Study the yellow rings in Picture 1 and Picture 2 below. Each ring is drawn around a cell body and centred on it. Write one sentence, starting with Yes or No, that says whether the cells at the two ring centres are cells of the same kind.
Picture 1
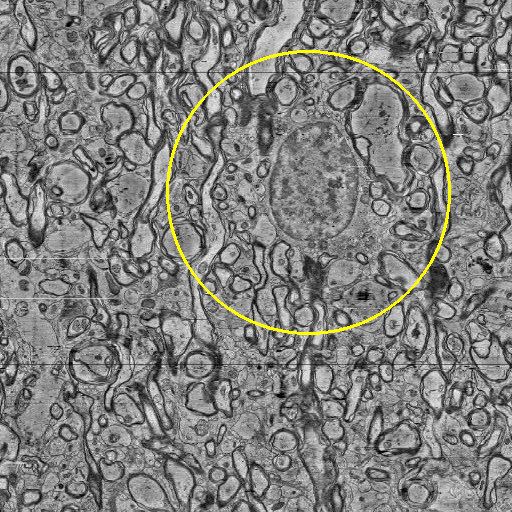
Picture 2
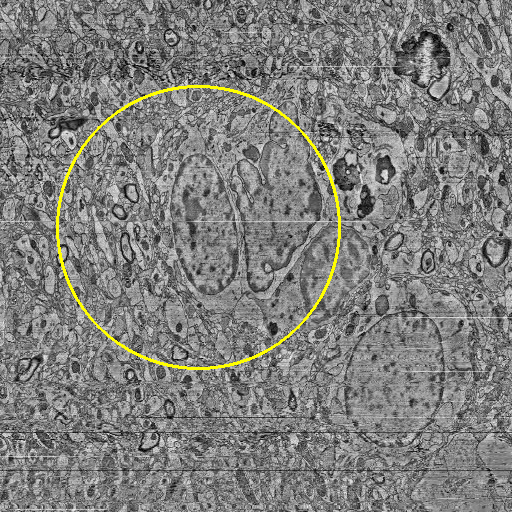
No, the cells at the ring centres are of two kinds.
